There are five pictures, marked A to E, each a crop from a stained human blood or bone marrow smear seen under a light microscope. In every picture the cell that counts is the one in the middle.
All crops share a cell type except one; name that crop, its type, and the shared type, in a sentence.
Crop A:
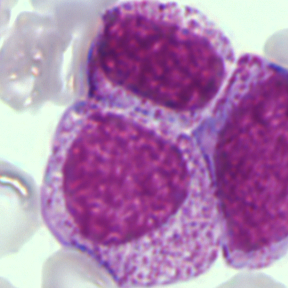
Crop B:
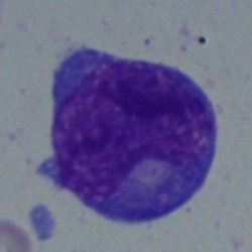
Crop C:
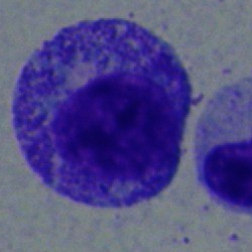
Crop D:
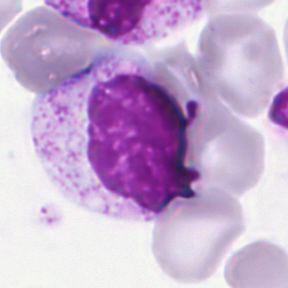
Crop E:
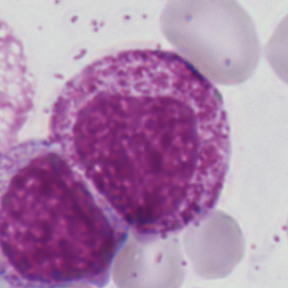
Among the crops, crop B is unique in showing a blast; the others show myelocytes.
